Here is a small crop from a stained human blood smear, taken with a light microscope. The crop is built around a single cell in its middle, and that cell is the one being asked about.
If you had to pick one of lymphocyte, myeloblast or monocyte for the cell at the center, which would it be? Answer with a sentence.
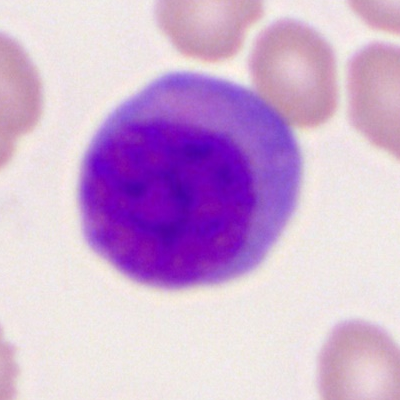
The crop shows a myeloblast in its centre.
